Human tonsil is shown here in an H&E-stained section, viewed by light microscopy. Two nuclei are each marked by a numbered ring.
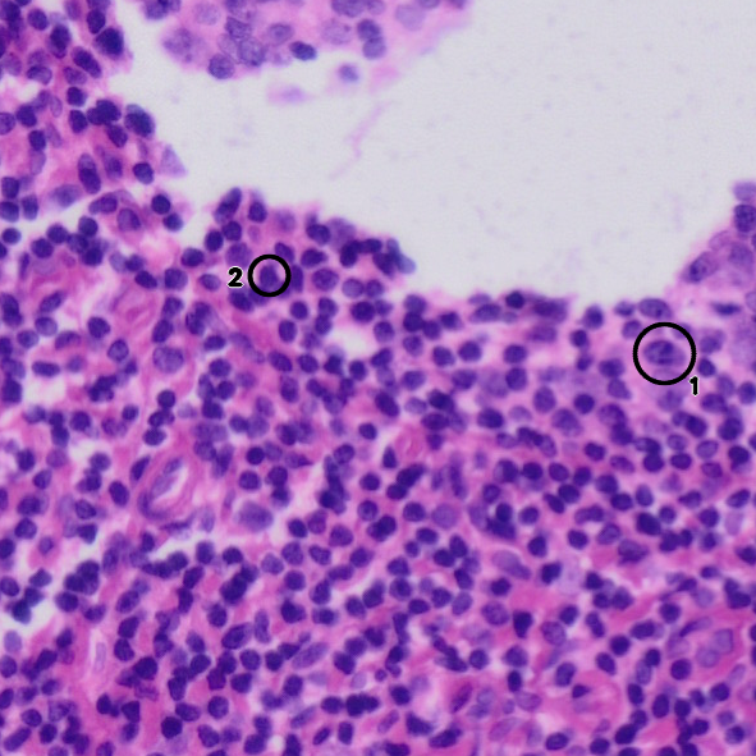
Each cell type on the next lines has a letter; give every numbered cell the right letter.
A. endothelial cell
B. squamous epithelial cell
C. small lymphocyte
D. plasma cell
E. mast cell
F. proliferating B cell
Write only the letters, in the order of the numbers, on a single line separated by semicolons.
F; C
